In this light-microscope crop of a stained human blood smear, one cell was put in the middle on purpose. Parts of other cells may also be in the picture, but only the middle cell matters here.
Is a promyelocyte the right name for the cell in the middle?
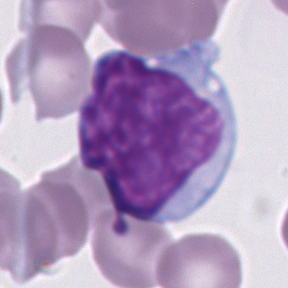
no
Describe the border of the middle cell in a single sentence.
The cell outline lacks smoothness, being ragged or extended into projections.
